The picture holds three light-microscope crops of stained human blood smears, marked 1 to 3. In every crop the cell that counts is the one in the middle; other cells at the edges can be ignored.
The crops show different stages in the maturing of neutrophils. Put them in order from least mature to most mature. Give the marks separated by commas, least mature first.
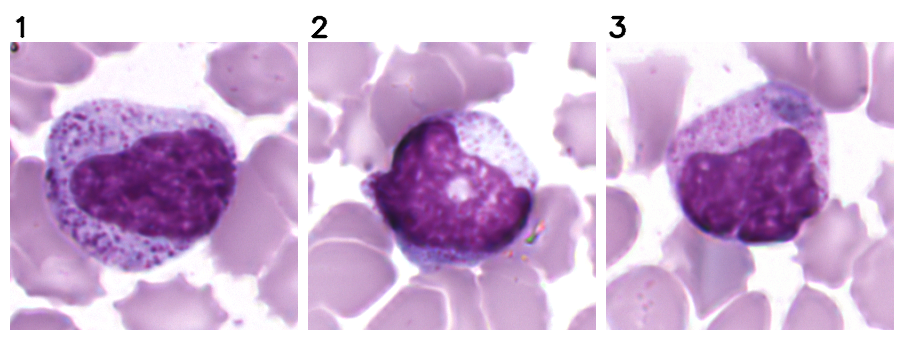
1, 2, 3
